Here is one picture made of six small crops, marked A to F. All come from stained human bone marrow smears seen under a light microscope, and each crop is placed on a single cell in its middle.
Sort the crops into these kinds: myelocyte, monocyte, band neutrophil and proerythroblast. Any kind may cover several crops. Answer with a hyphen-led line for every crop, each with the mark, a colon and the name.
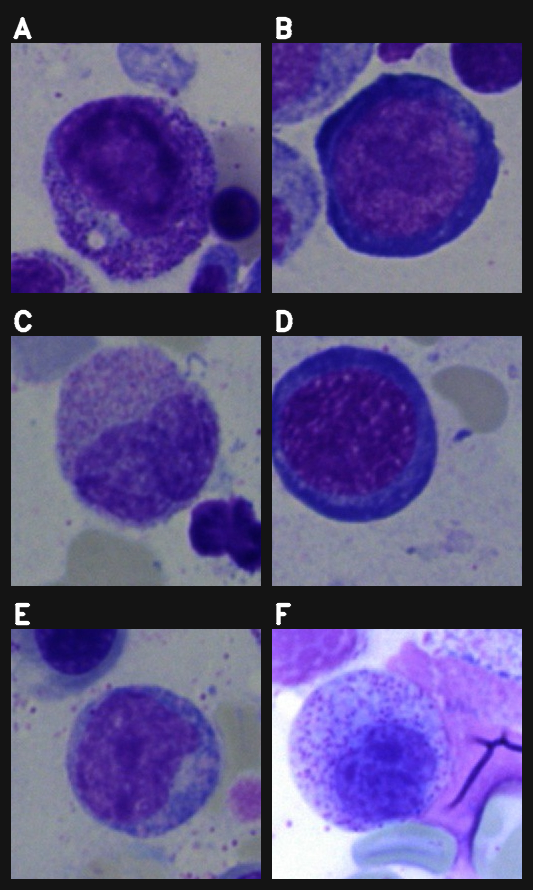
- A: myelocyte
- B: proerythroblast
- C: myelocyte
- D: proerythroblast
- E: monocyte
- F: myelocyte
